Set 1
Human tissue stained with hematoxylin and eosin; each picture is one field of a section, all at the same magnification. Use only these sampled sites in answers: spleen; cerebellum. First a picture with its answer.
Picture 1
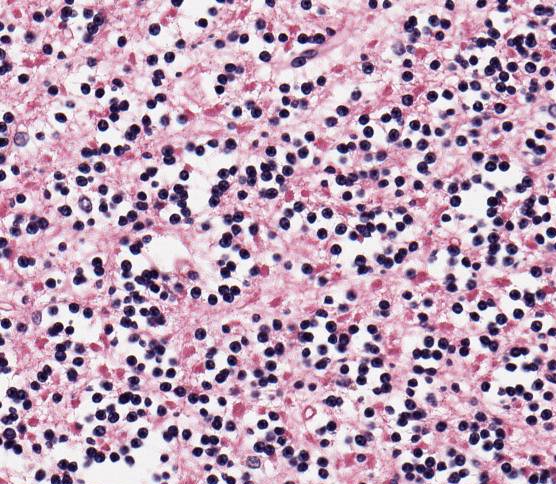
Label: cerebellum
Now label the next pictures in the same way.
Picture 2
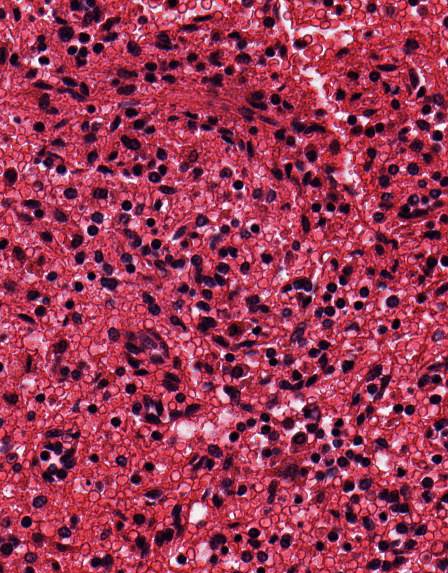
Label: spleen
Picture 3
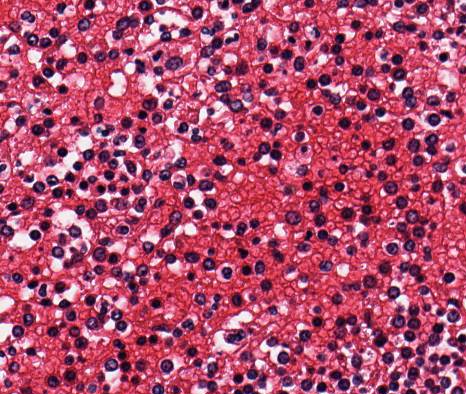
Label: spleen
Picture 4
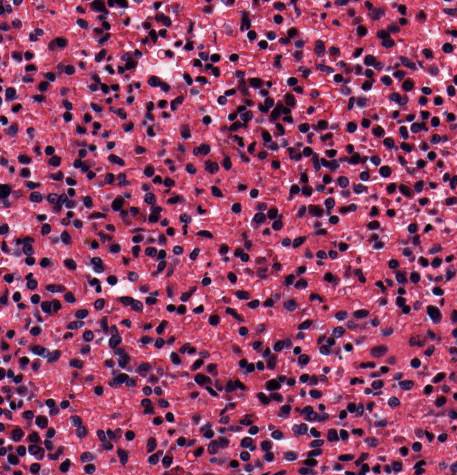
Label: spleen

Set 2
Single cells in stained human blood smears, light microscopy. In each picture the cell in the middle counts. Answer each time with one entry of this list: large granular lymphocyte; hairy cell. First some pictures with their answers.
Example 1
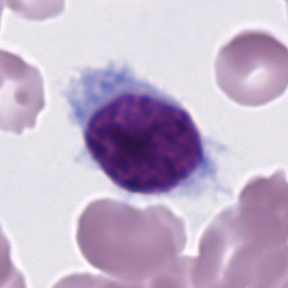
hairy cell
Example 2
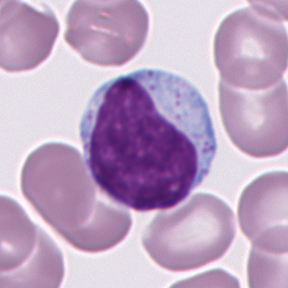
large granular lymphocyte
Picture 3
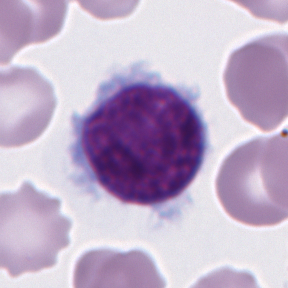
hairy cell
